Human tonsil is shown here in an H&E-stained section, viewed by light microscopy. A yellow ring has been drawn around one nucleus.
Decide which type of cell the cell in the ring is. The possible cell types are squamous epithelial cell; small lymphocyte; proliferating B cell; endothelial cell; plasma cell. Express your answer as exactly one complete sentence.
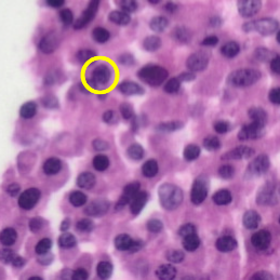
Among the cells in this section, the cell in the ring is a plasma cell.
